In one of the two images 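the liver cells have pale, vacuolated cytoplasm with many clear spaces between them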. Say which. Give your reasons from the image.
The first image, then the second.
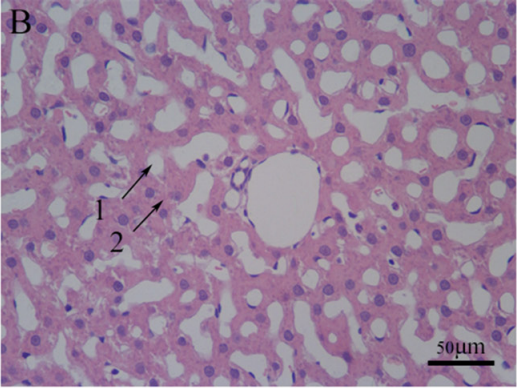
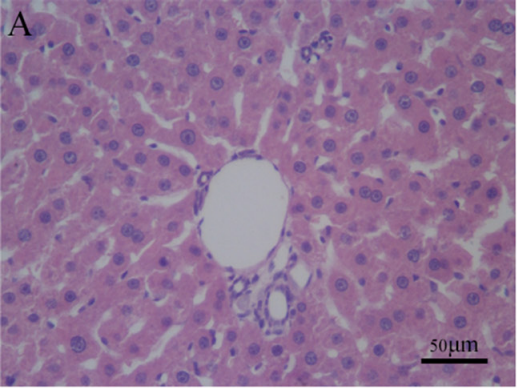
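First image: many irregular clear spaces and pale cells disrupt the cell plates. Second image: compact cords of evenly pink cells with narrow sinusoids.
Conclusion: the first image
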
